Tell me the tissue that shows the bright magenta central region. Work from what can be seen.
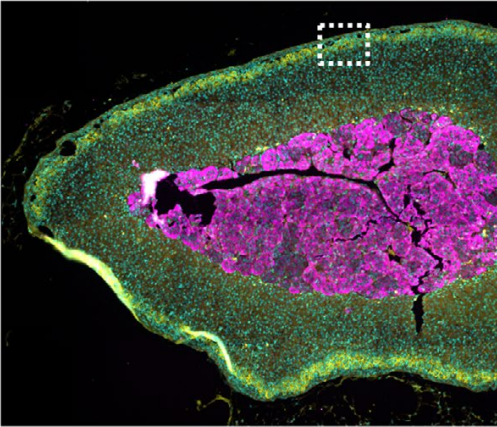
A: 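A central region of the section is densely filled with bright magenta. The magenta region is surrounded by a broad cyan-dotted rim of tissue.
Conclusion: medulla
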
